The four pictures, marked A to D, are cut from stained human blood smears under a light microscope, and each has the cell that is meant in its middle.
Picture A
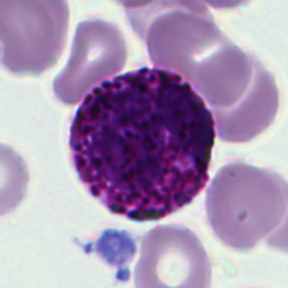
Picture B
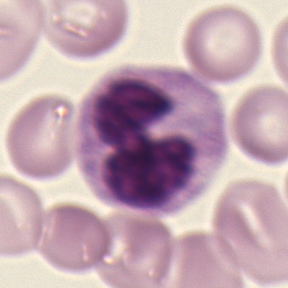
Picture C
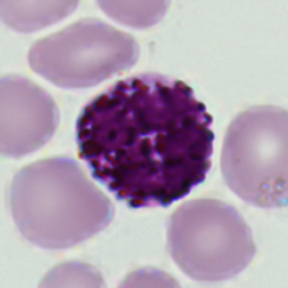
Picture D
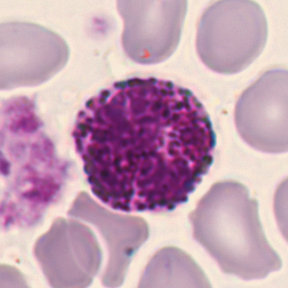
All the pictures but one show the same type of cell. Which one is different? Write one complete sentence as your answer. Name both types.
The different one is picture B; it shows a segmented neutrophil, whereas all the others show basophils.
